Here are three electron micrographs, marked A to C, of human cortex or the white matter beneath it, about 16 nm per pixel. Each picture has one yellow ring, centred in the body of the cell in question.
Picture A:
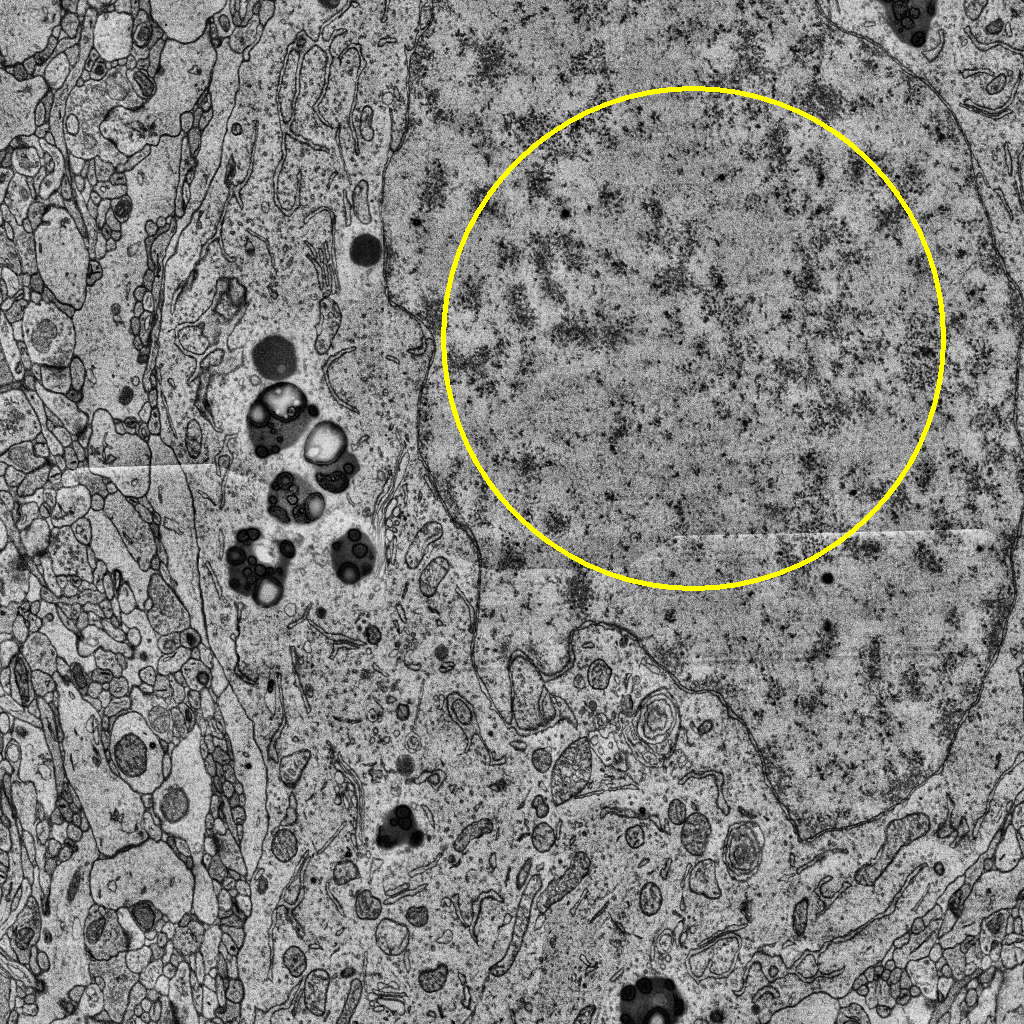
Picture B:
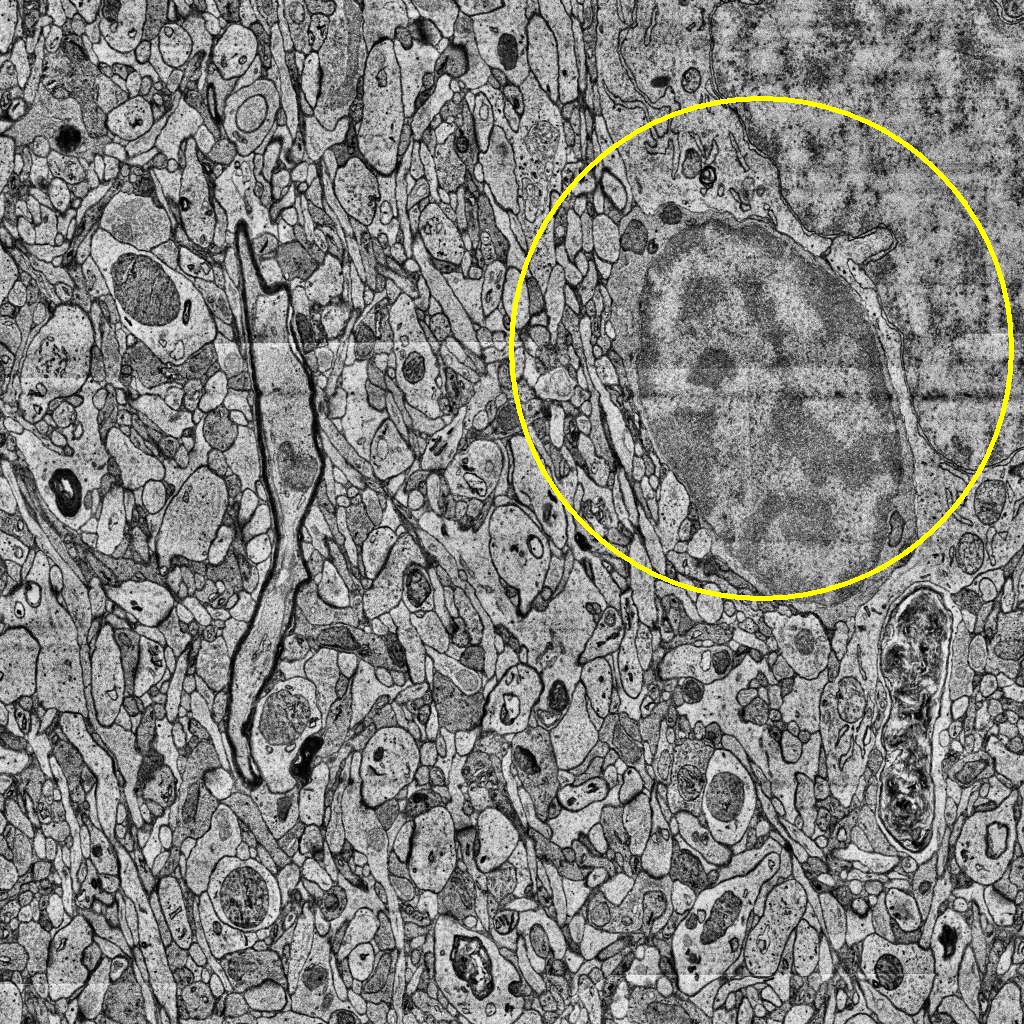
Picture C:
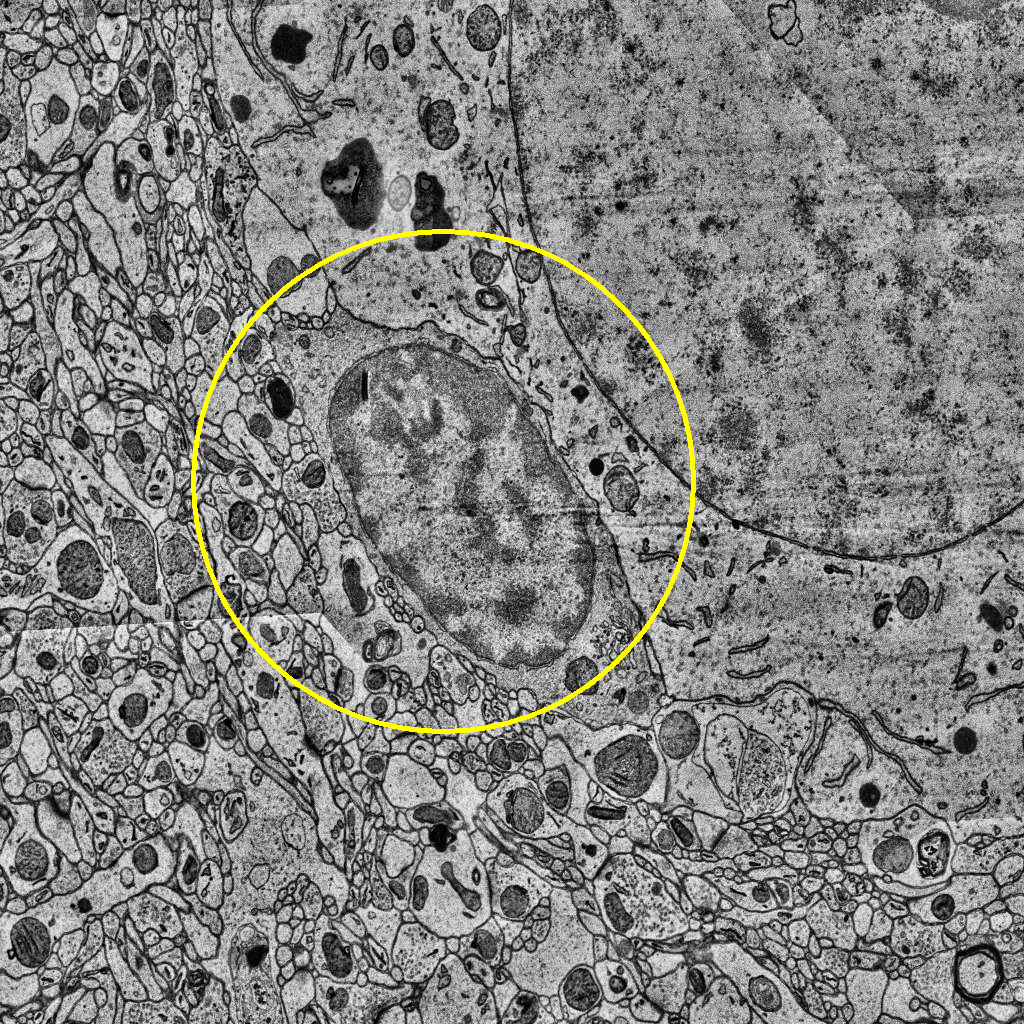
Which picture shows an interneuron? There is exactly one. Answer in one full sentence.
The cell in picture A is the interneuron.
